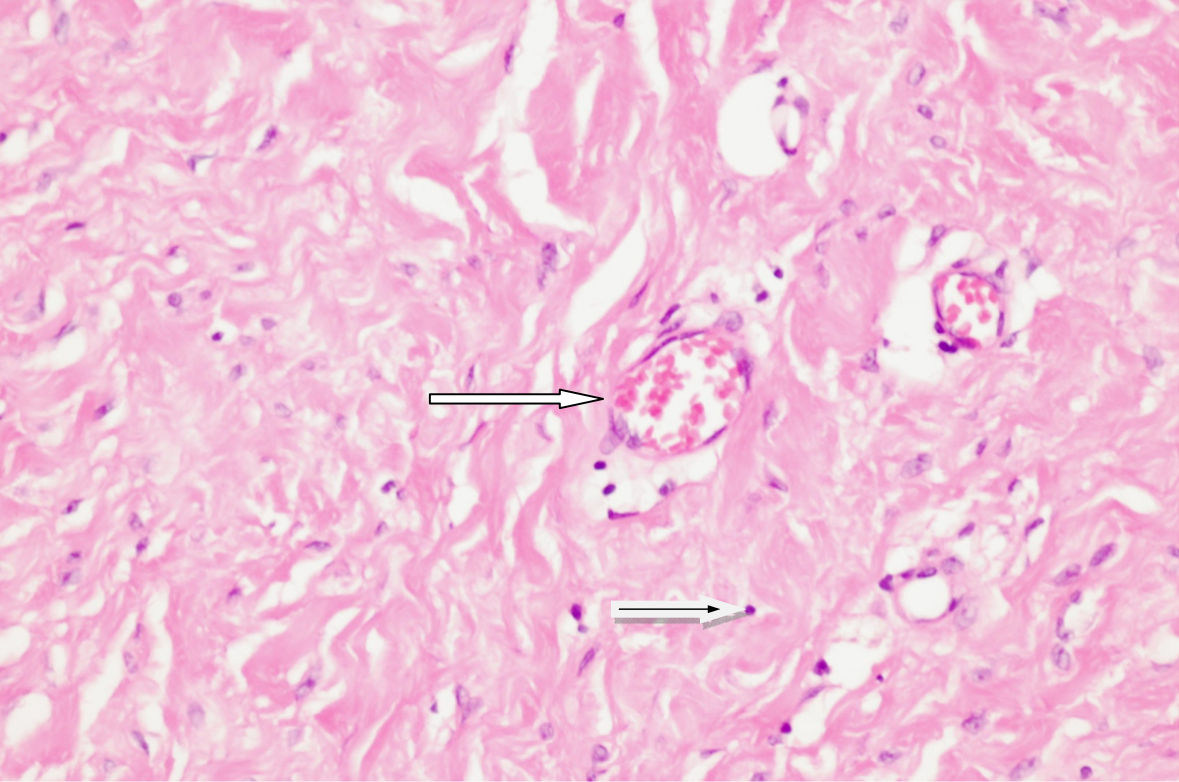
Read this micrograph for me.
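Dense fibrous matrix of wavy pink collagen bundles separated by pale clefts, with scattered small, dark purple, spindle-shaped to oval fibroblast nuclei lying singly between the fibers. Small blood vessels run through the matrix, their lumens filled with red blood cells and lined by thin walls with flattened dark nuclei.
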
